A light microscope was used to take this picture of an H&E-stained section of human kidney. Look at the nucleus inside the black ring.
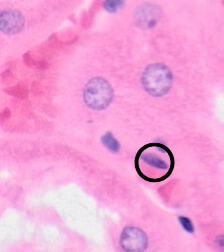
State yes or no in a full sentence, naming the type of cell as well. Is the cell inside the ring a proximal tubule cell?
No, the cell inside the ring is correctly named an endothelial cell; it is not a proximal tubule cell.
